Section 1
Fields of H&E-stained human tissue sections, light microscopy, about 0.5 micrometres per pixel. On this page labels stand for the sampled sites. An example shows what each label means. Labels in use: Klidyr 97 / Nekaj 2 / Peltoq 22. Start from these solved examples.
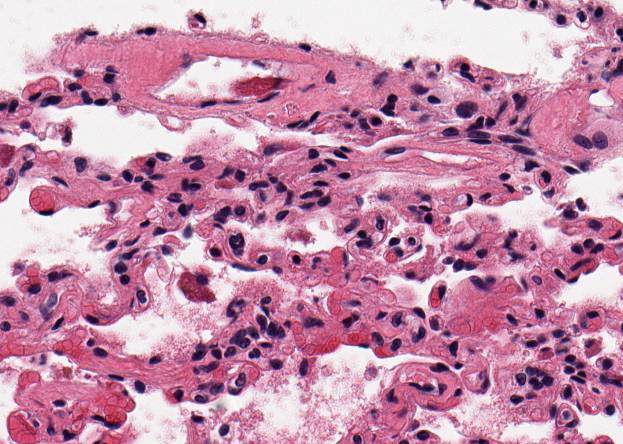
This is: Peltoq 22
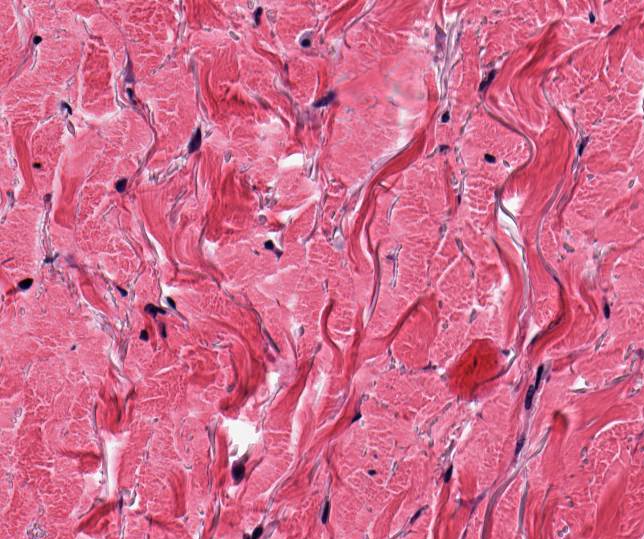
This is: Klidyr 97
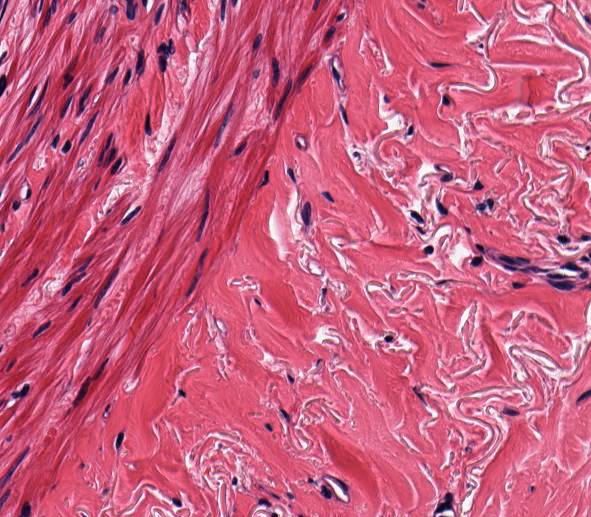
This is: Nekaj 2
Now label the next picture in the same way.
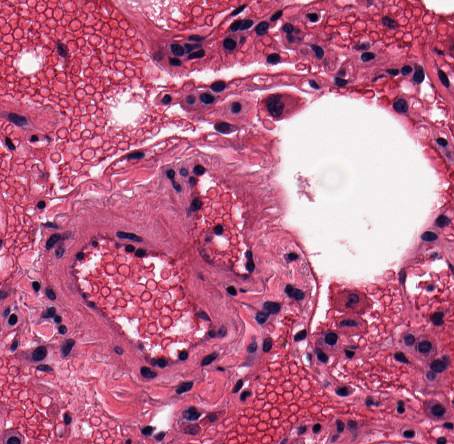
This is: Peltoq 22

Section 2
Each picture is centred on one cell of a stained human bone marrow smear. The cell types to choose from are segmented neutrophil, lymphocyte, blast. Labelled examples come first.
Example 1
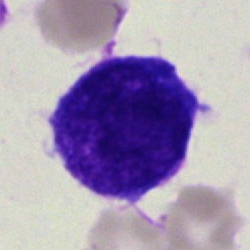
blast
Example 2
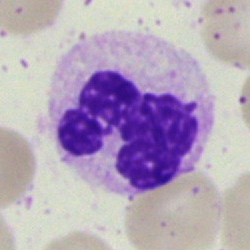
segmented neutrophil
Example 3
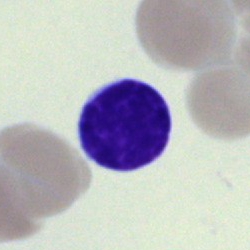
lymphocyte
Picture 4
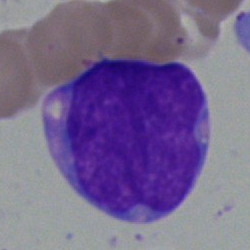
blast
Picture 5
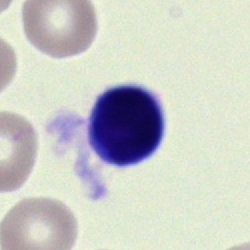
lymphocyte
